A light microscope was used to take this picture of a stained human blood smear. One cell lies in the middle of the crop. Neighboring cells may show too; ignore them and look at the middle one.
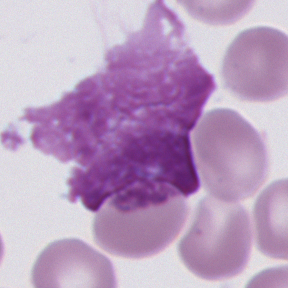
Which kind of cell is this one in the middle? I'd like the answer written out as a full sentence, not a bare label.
In the centre of this crop there is a smudge cell.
